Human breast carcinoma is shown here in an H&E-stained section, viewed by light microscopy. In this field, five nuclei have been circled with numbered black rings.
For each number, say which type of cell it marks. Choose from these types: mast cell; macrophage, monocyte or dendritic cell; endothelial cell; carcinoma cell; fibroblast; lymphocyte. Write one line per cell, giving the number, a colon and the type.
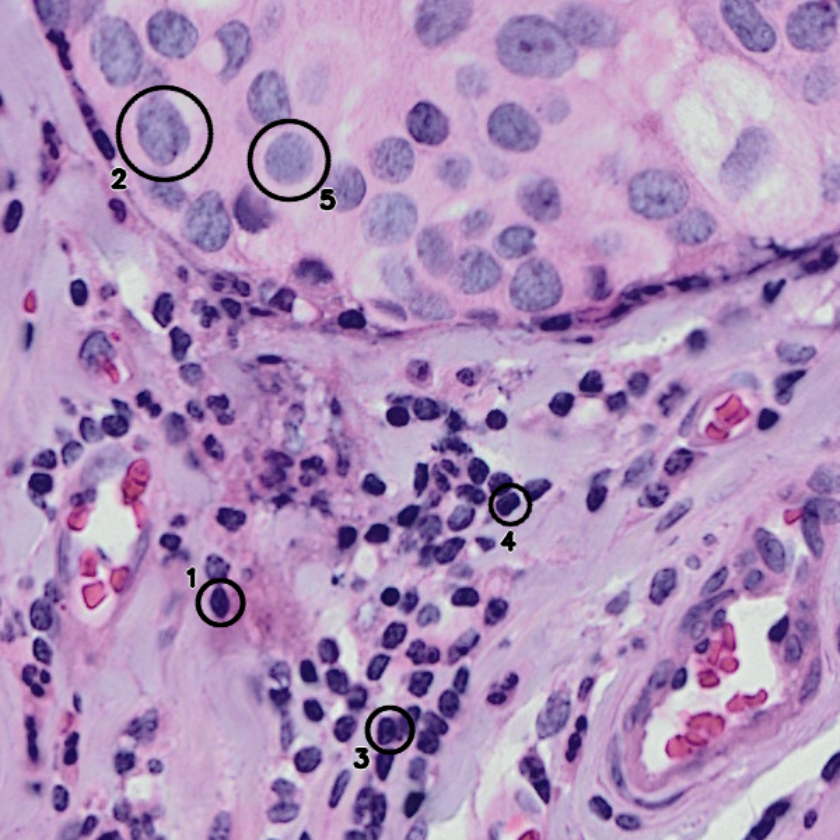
1: lymphocyte
2: carcinoma cell
3: lymphocyte
4: lymphocyte
5: carcinoma cell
